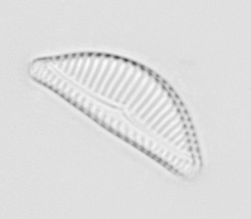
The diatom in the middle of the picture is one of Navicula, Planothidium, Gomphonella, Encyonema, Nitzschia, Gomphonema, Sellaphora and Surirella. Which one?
Encyonema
